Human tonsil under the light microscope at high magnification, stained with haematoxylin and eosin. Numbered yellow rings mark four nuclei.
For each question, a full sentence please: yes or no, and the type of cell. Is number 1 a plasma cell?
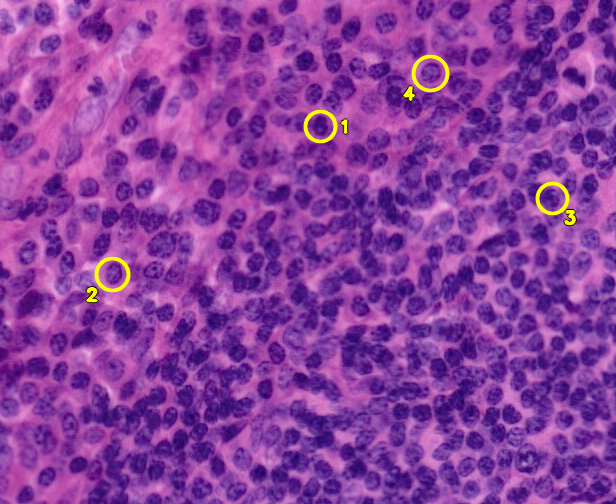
Yes, the cell numbered 1 in this tissue is a plasma cell.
